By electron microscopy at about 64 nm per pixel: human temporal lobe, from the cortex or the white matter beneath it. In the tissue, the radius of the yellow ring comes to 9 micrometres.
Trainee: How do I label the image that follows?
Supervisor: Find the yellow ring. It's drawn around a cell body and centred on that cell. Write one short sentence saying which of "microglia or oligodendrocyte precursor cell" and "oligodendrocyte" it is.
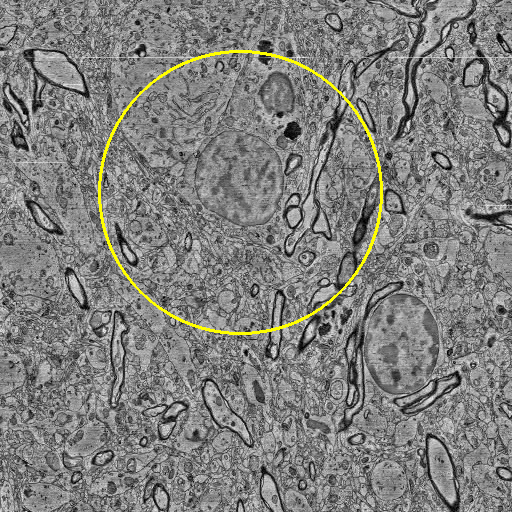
This is the cell body of an oligodendrocyte.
